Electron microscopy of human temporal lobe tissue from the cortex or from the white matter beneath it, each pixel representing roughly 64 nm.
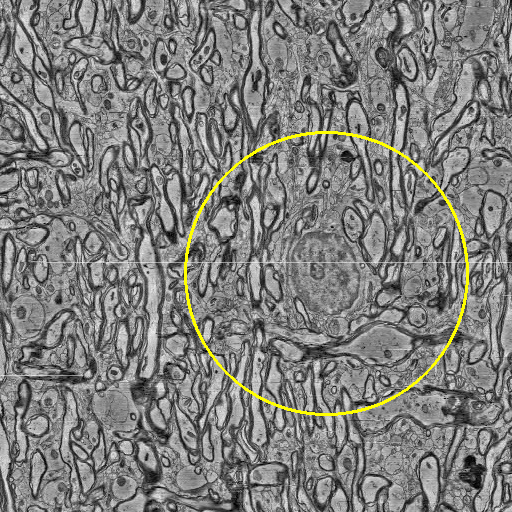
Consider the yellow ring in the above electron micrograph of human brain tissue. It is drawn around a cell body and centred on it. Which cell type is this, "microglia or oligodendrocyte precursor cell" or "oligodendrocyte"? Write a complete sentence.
The cell in question is an oligodendrocyte.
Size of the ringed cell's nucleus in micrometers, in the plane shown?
The ringed cell's nucleus measures approximately 6 by 4 micrometres in this plane.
